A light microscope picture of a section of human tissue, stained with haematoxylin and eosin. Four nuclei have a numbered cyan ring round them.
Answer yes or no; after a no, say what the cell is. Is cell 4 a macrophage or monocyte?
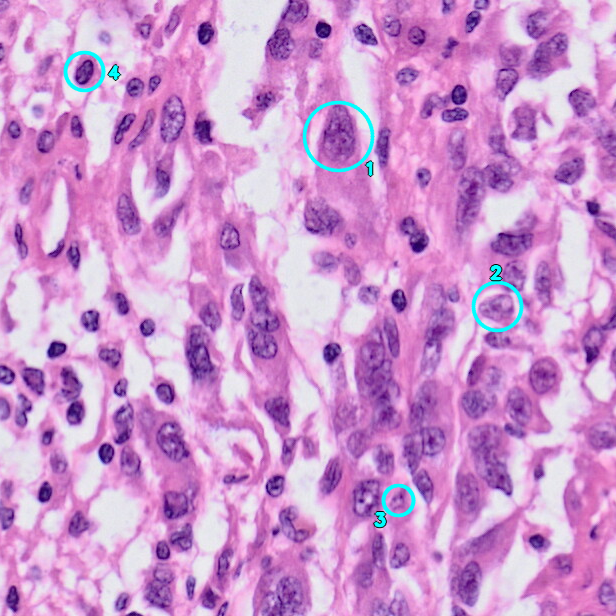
Yes.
